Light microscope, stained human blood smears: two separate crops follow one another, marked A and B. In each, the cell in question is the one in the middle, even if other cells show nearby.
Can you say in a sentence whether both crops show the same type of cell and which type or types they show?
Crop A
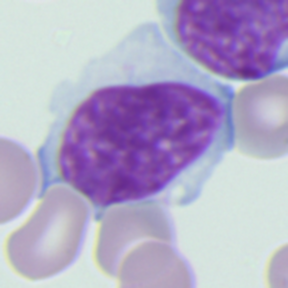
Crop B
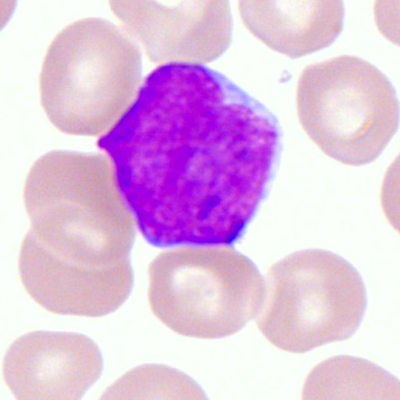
Yes, the centred cells are blasts in both crops.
